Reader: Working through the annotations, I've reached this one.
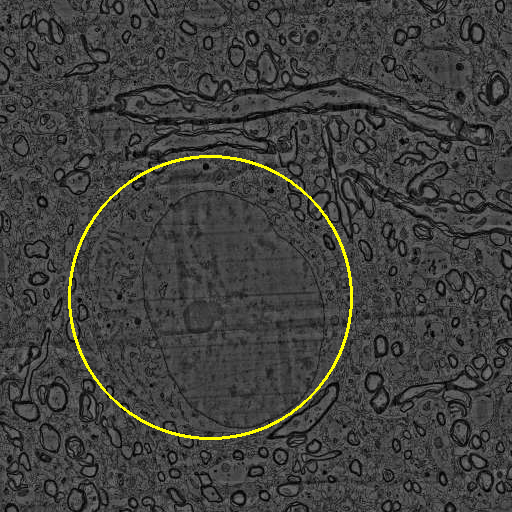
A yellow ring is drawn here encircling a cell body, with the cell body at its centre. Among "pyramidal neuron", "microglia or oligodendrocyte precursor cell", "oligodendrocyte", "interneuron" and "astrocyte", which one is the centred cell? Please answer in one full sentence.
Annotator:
The cell body at the centre of the yellow ring in this image belongs to a pyramidal neuron.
